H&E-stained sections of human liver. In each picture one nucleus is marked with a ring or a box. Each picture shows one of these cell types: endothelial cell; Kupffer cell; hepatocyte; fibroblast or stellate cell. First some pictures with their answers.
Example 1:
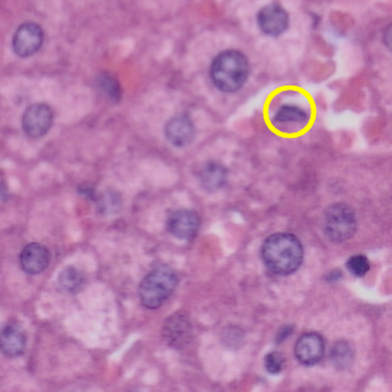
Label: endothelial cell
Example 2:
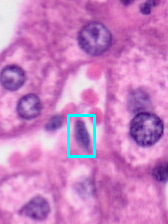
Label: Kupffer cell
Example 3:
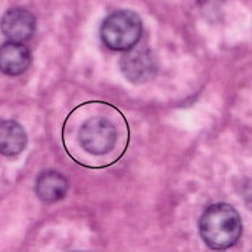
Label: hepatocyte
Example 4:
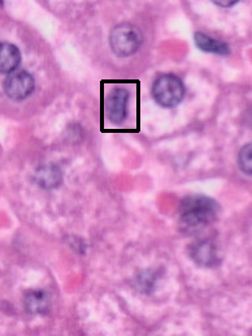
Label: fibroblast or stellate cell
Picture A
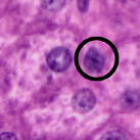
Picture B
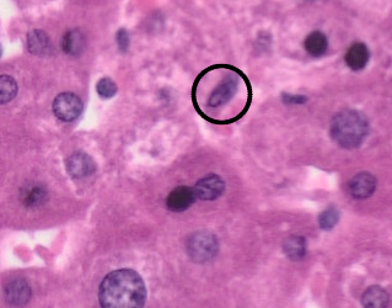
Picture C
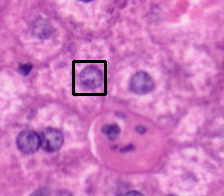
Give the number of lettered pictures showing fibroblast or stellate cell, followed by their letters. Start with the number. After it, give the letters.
0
